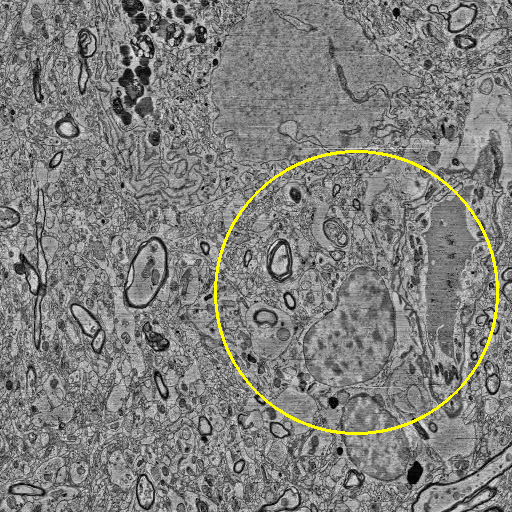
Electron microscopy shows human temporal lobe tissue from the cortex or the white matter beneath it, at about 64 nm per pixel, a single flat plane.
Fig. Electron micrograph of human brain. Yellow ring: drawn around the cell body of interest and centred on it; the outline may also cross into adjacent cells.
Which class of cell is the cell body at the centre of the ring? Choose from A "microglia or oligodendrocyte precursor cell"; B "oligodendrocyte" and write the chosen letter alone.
A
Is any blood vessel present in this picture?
Yes, a vessel shows somewhere in the image.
